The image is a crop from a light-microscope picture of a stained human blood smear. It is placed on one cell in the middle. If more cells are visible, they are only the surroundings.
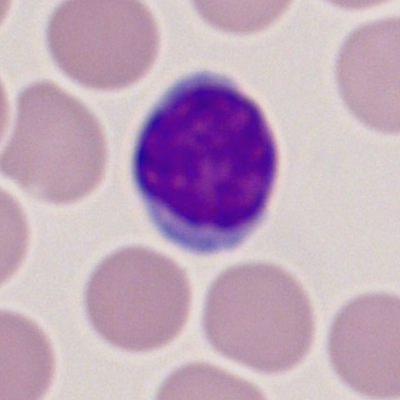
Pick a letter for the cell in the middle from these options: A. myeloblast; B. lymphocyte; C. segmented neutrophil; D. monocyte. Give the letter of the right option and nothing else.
B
